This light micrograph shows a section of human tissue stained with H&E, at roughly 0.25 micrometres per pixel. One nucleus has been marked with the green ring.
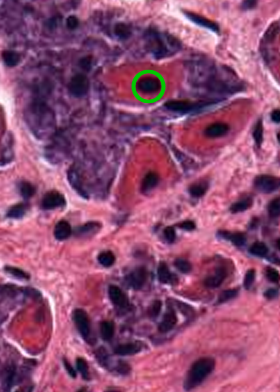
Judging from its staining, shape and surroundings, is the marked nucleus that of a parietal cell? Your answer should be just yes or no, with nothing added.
yes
